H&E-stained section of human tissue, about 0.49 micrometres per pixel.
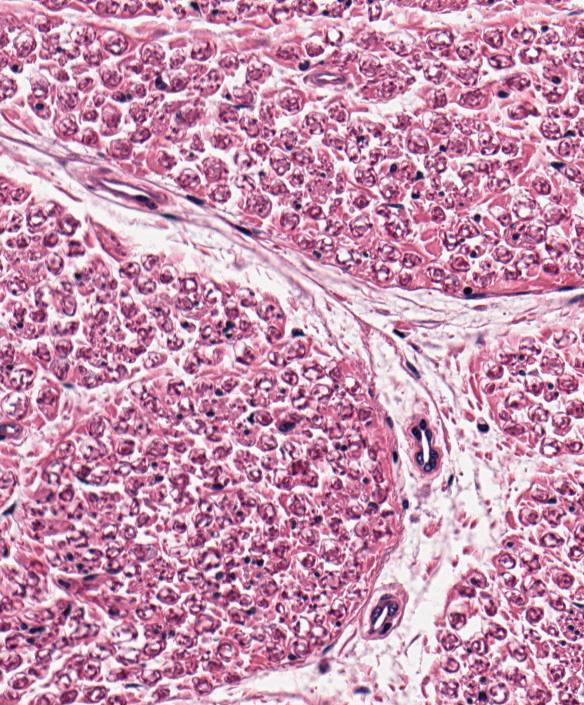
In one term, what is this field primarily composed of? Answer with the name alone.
nerve fascicle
